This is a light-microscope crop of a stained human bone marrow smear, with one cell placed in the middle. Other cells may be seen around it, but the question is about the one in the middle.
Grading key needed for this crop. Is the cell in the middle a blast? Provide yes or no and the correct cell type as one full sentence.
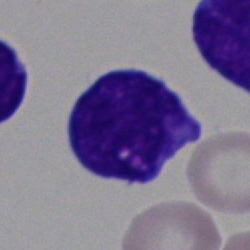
Yes, the cell in the center of this crop is a blast.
